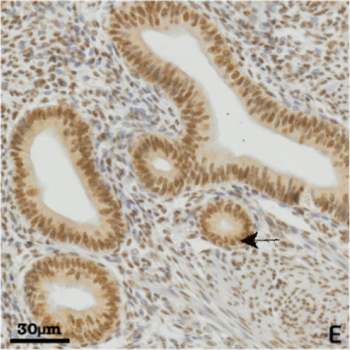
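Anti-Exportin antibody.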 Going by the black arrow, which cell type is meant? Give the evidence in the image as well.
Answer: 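Luminal columnar epithelial cells. The arrow points to a small round gland lined by tall cells. Lining cells have elongated, palisaded nuclei. The gland sits in a stroma of smaller cells.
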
